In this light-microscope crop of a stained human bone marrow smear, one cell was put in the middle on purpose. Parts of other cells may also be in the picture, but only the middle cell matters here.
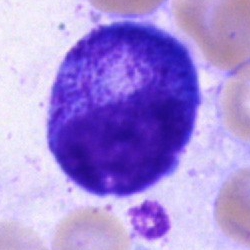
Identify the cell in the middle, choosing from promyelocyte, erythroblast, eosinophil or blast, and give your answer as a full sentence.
The cell at the centre of the field is a promyelocyte.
